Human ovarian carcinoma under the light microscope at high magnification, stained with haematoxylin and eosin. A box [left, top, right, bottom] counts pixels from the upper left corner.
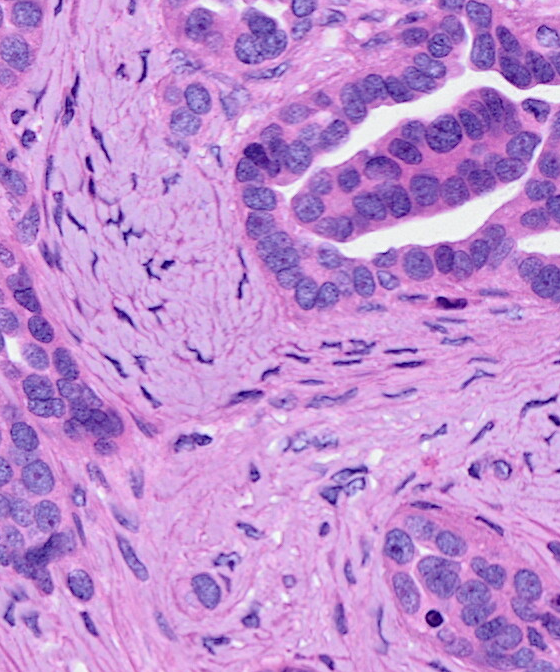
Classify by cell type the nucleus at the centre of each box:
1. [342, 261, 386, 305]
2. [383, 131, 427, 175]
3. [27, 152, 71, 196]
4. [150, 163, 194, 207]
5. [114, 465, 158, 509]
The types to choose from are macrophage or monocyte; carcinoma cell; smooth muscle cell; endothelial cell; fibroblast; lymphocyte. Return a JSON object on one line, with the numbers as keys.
{"1": "carcinoma cell", "2": "carcinoma cell", "3": "fibroblast", "4": "fibroblast", "5": "fibroblast"}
